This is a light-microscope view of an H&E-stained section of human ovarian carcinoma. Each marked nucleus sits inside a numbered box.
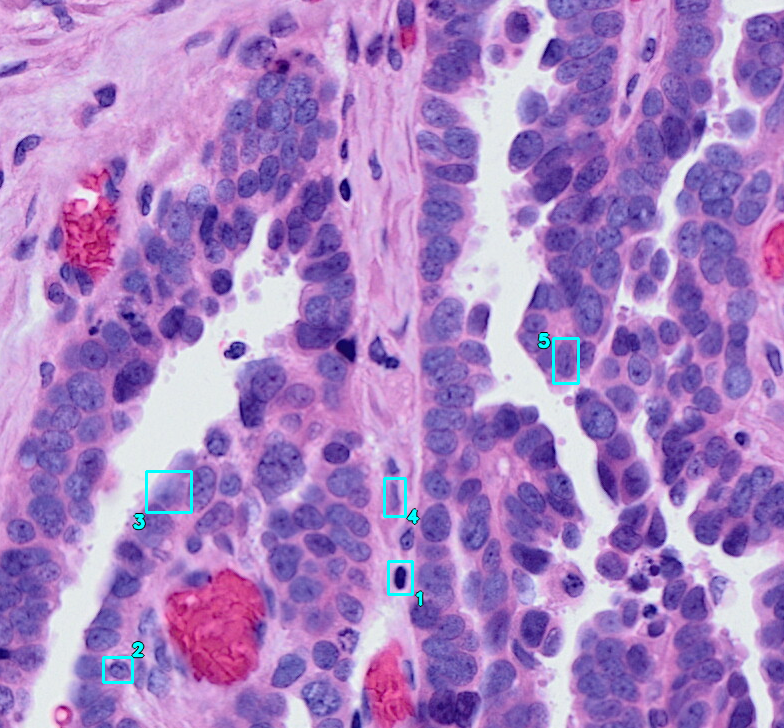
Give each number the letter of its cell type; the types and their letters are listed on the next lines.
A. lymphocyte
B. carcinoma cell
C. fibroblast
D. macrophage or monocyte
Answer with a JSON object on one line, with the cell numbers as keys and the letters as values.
{"1": "A", "2": "D", "3": "B", "4": "C", "5": "B"}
